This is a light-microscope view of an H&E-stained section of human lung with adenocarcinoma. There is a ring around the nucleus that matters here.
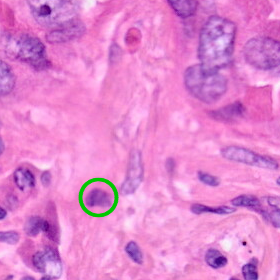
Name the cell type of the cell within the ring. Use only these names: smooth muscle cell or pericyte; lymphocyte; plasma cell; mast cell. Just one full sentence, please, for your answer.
In the tissue at hand, the cell within the ring is a mast cell.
